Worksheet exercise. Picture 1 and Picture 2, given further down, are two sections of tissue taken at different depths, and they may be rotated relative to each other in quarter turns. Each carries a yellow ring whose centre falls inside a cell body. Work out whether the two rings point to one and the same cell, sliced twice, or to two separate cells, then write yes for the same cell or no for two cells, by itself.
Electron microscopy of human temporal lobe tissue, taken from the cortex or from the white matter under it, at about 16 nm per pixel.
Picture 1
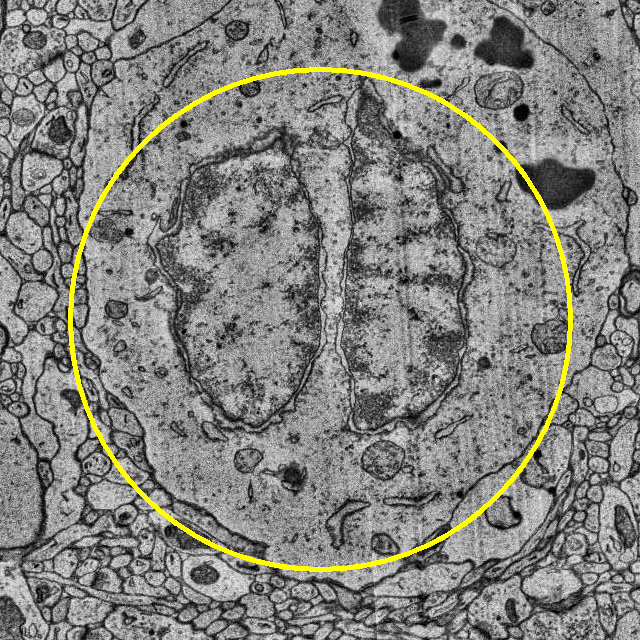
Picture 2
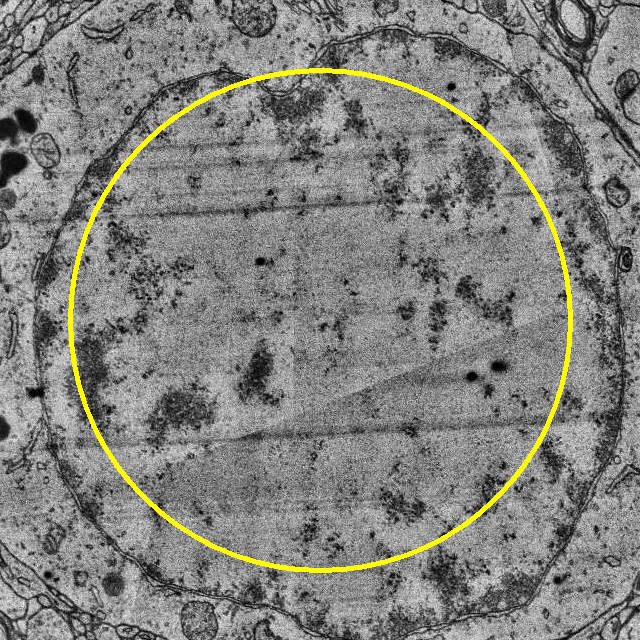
yes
